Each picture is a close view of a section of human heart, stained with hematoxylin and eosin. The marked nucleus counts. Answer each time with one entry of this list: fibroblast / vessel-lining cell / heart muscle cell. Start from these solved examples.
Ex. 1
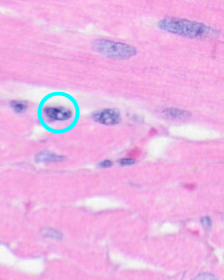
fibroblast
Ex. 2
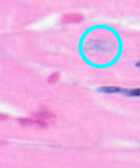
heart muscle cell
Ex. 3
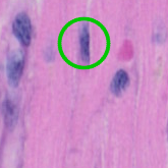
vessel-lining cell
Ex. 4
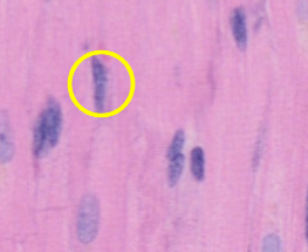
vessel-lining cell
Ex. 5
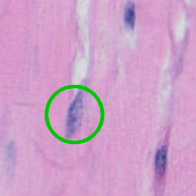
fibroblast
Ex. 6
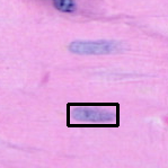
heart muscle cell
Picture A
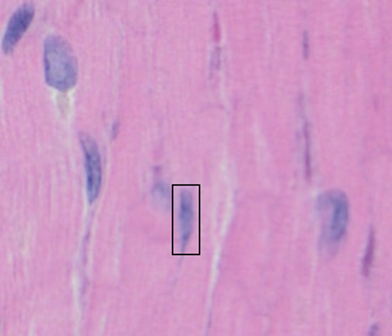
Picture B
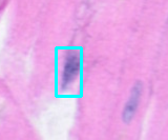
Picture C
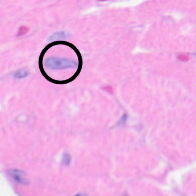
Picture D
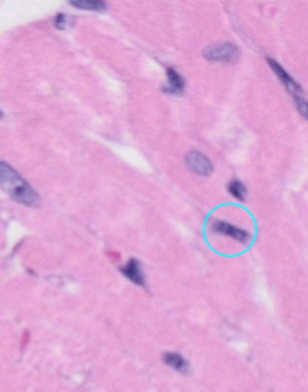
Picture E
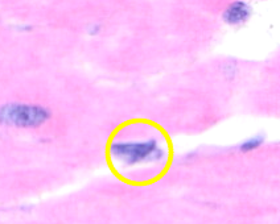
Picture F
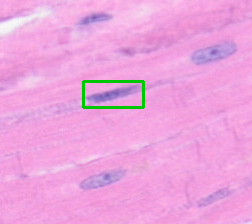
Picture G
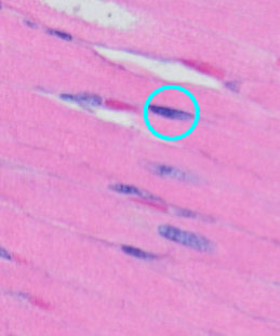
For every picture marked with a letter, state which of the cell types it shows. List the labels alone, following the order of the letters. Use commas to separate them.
fibroblast, vessel-lining cell, heart muscle cell, fibroblast, fibroblast, vessel-lining cell, fibroblast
